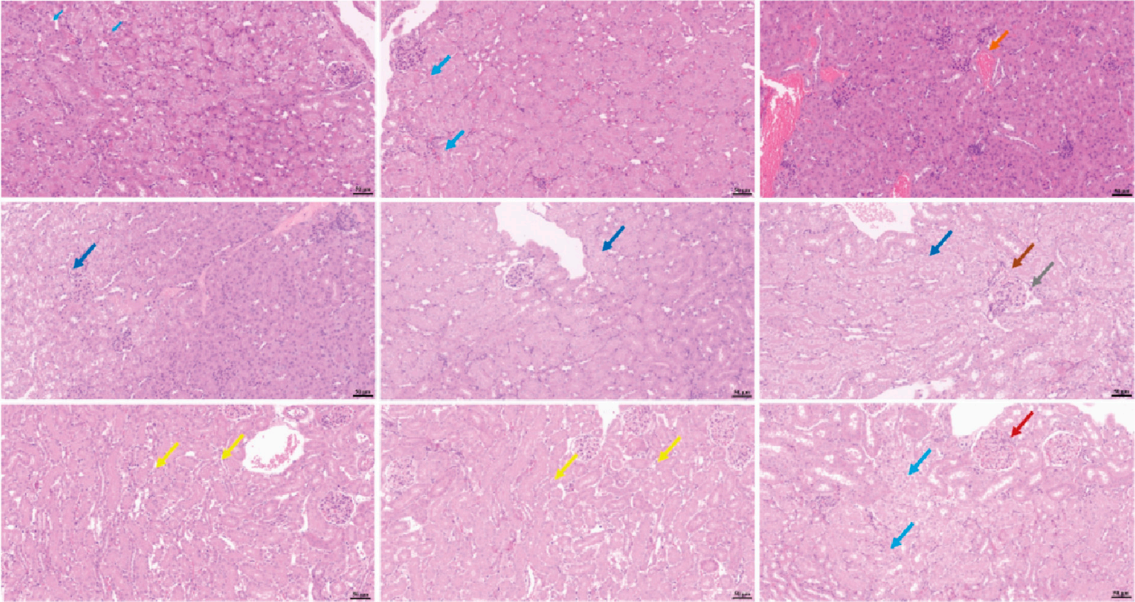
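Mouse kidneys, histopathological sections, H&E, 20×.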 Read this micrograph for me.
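Nine images of renal cortex stained pink and purple, each showing packed tubules lined by epithelial cells with pink cytoplasm and purple nuclei. Round glomeruli appear as dense purple tufts of nuclei set within a thin clear space, scattered among the tubules. In some images the tubular cells look pale and clear, and in others the tubules are more open with wider lumens. In one image the spaces between the tubules hold bright red, densely packed blood, with large red blood-filled spaces at the edge of the tissue. Coloured arrows point to individual tubules, glomeruli and interstitial areas.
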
